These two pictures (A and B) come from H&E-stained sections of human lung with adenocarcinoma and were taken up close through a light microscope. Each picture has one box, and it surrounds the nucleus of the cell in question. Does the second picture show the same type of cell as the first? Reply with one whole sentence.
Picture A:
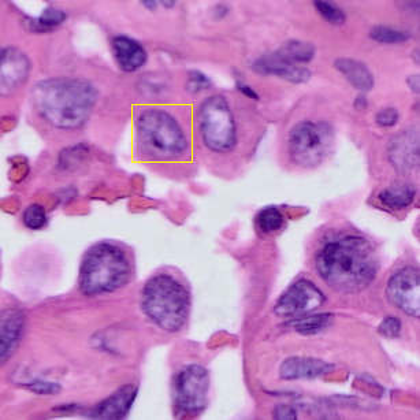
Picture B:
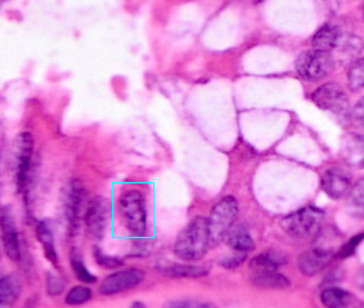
No, they differ: the cell is a carcinoma cell in picture A and a ciliated epithelial cell in picture B.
